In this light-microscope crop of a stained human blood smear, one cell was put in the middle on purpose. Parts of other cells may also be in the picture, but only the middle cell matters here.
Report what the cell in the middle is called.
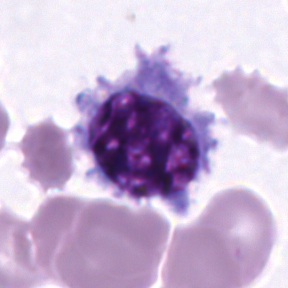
plasma cell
